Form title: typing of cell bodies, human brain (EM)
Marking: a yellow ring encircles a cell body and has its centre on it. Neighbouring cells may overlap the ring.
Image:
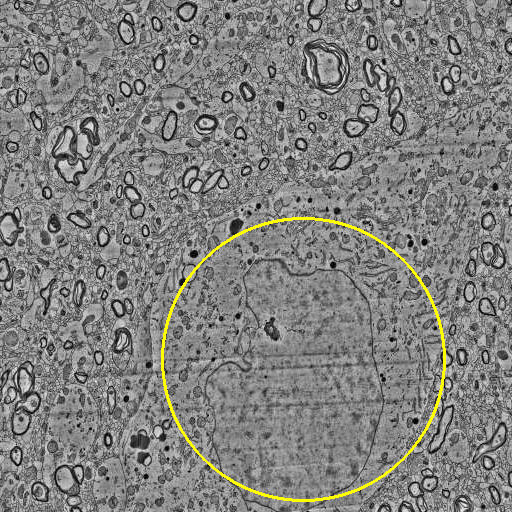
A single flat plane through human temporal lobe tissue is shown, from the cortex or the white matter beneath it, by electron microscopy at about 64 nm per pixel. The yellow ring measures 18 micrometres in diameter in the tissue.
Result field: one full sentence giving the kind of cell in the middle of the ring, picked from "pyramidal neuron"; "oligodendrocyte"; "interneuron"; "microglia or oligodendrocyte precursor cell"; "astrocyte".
In the picture, the ring is centred on a pyramidal neuron, whose cell body it encircles.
